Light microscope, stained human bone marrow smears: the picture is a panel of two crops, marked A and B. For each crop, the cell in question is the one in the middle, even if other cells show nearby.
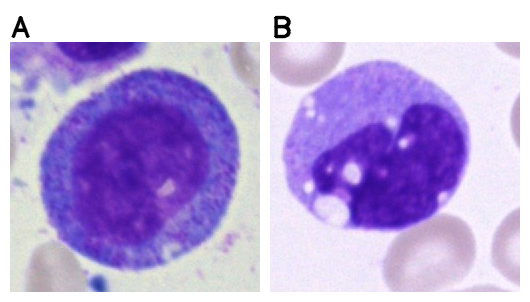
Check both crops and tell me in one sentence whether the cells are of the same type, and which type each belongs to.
No, crop A is of a promyelocyte, and crop B is of a monocyte.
